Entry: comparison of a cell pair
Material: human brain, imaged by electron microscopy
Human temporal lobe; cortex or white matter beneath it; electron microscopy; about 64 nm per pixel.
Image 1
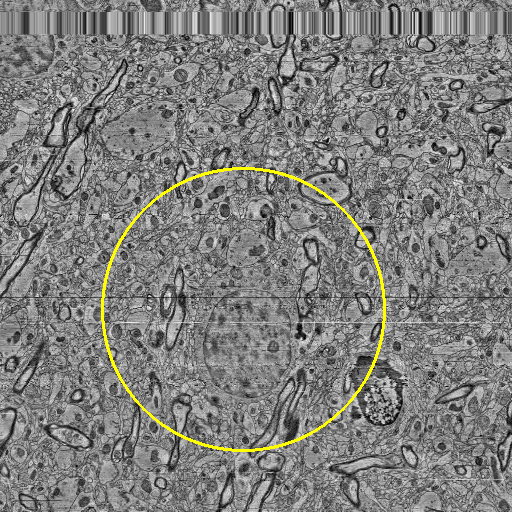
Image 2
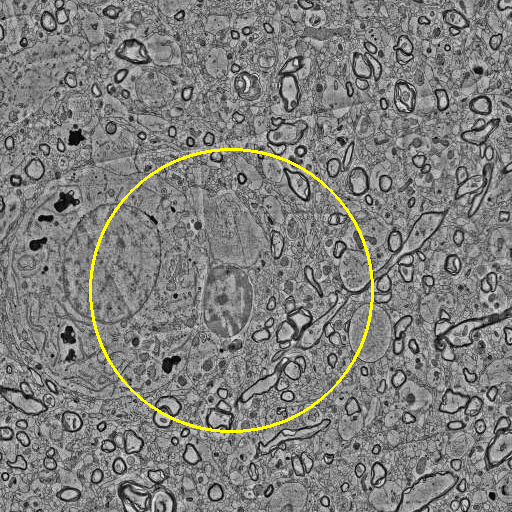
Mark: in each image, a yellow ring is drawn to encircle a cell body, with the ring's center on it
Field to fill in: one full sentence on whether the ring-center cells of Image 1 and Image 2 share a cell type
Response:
No, Image 1 and Image 2 show ring-center cells of two separate types.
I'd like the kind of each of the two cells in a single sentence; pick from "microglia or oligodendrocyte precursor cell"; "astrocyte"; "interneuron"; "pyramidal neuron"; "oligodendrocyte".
The first ring marks an oligodendrocyte, and the second ring marks a microglial cell or oligodendrocyte precursor cell.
